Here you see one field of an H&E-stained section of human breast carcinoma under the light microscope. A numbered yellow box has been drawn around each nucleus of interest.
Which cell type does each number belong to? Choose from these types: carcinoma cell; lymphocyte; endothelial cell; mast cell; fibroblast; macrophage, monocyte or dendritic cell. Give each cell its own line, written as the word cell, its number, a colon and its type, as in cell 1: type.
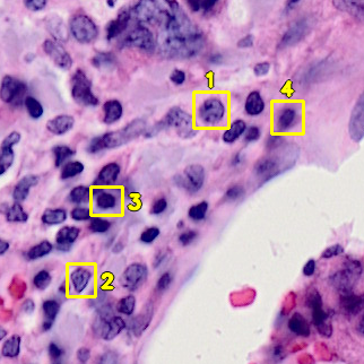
cell 1: mast cell
cell 2: lymphocyte
cell 3: lymphocyte
cell 4: lymphocyte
